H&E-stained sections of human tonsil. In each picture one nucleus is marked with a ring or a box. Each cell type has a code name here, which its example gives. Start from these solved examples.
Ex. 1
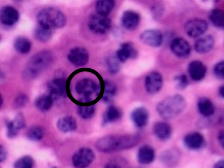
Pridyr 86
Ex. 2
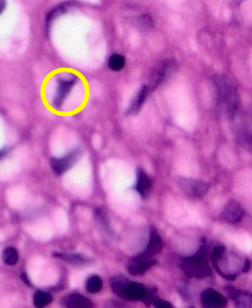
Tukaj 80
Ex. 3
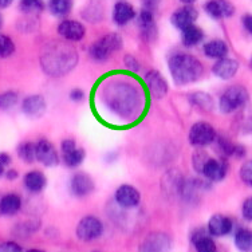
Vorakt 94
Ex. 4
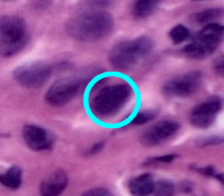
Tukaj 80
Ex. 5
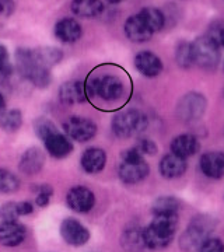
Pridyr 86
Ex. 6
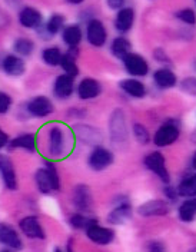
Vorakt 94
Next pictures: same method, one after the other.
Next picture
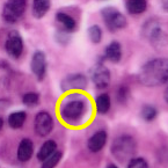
Pridyr 86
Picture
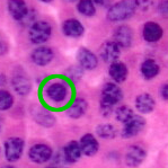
Pridyr 86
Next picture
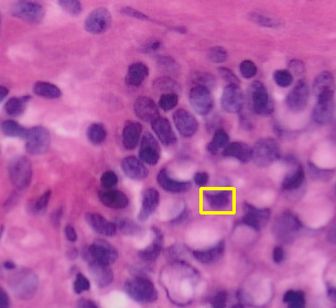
Tukaj 80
